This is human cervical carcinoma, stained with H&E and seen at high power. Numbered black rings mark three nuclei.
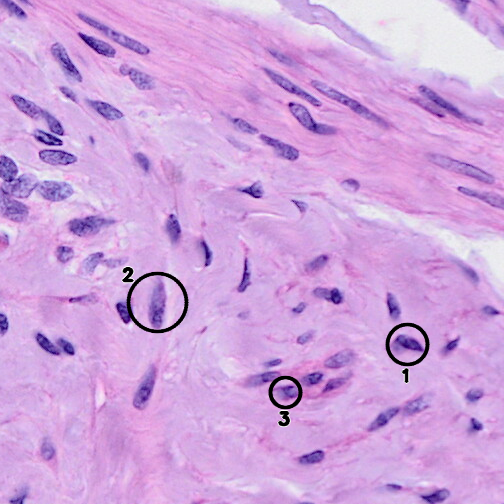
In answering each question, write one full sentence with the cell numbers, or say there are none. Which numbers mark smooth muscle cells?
Of the cells bearing numbers, the only one that is a smooth muscle cell is cell 3.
